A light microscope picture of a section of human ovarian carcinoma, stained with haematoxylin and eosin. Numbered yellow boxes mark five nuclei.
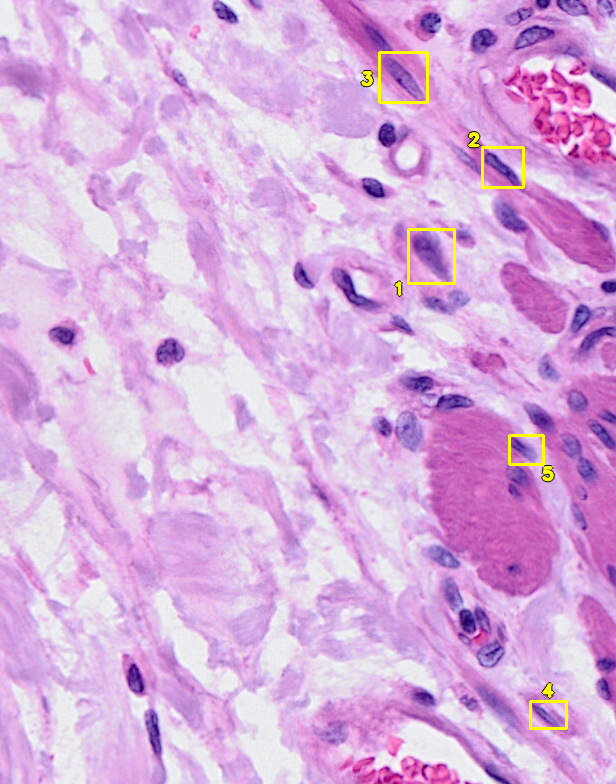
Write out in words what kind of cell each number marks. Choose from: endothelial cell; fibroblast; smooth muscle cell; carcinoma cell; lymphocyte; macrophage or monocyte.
Cell 1 is an endothelial cell, cell 2 is a smooth muscle cell, cell 3 is a smooth muscle cell, cell 4 is an endothelial cell and cell 5 is a smooth muscle cell.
